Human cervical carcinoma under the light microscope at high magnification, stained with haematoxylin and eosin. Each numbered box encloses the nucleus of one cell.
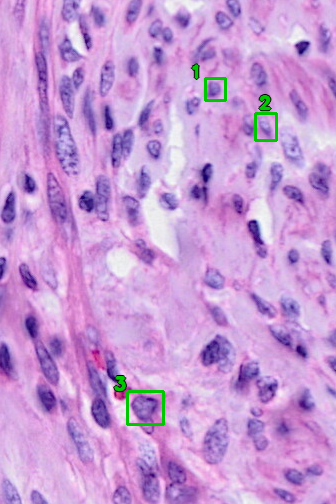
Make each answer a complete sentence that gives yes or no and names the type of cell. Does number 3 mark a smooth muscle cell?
No, cell 3 is an endothelial cell; it is not a smooth muscle cell.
